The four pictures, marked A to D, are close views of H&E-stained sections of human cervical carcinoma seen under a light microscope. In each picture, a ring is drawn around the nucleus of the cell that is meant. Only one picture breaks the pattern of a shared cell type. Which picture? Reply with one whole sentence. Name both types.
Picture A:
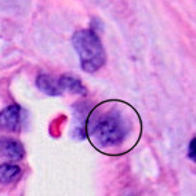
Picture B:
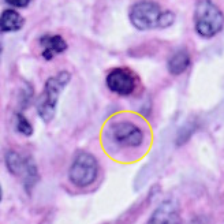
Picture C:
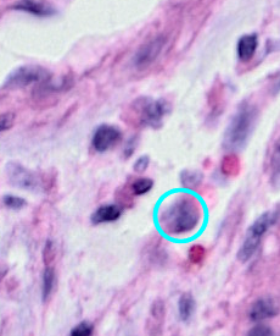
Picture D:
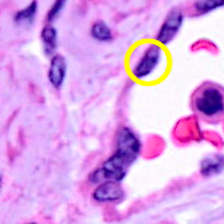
The others show endothelial cells, but picture B shows a “macrophage or monocyte”.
